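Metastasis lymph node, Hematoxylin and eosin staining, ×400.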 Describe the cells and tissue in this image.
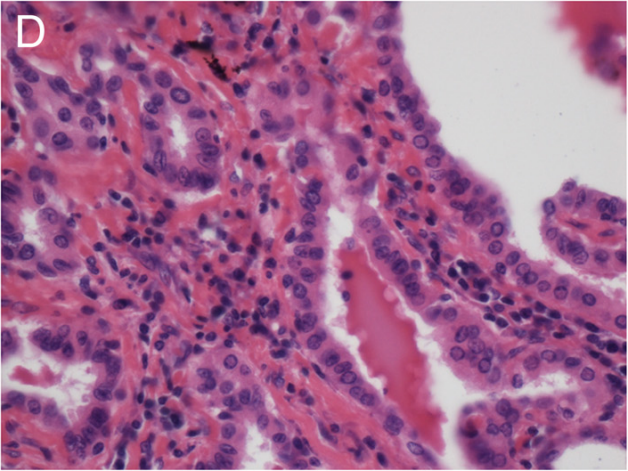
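Tumor cells form glands and papillary fronds lined by cells with oval, pale, somewhat overlapping nuclei, beside a pink fibrous stroma with scattered small dark nuclei. A narrow lumen contains homogeneous pink material.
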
